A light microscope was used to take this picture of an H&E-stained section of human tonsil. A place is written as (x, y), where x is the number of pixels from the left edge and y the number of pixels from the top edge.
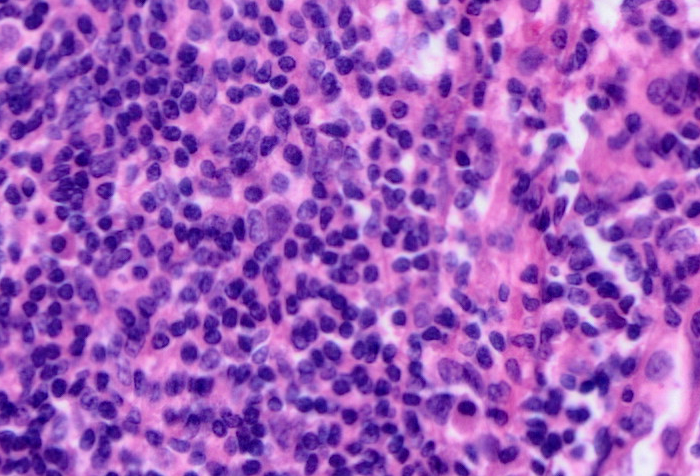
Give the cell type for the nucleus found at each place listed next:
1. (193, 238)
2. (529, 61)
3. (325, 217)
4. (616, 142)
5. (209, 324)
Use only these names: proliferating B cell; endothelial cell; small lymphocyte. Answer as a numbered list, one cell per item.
1. small lymphocyte
2. endothelial cell
3. small lymphocyte
4. endothelial cell
5. small lymphocyte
